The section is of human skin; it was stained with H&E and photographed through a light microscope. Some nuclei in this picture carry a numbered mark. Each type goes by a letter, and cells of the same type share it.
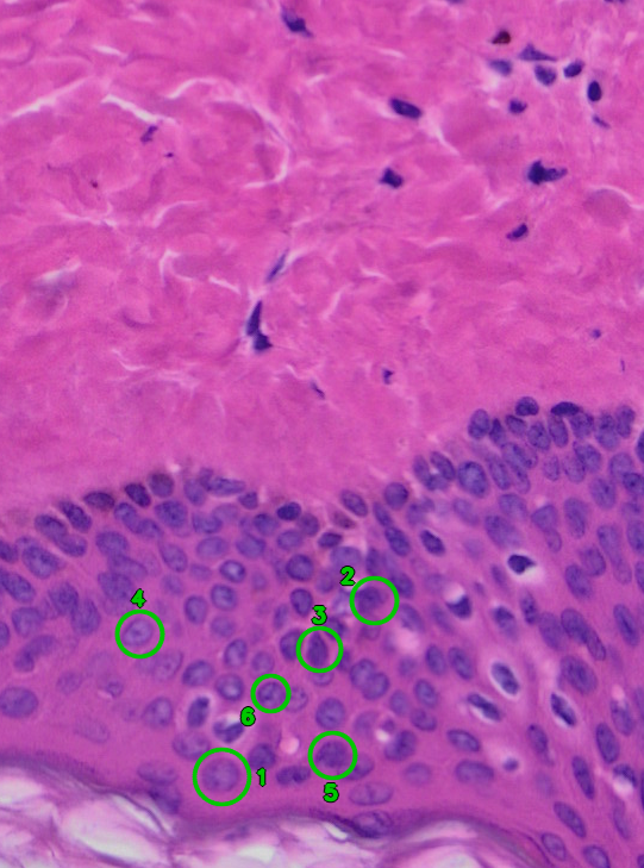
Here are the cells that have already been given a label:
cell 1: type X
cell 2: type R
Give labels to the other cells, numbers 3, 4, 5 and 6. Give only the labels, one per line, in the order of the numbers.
type R
type X
type X
type X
